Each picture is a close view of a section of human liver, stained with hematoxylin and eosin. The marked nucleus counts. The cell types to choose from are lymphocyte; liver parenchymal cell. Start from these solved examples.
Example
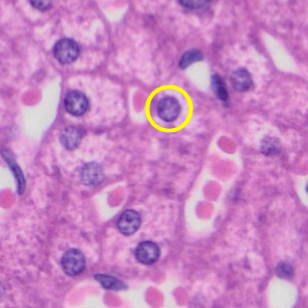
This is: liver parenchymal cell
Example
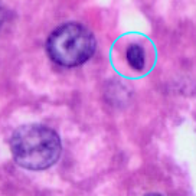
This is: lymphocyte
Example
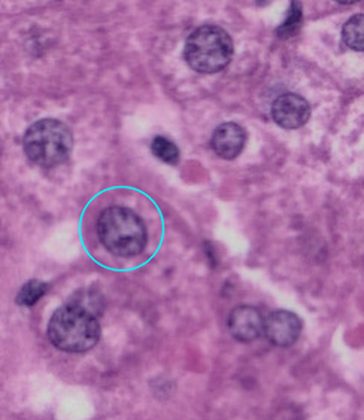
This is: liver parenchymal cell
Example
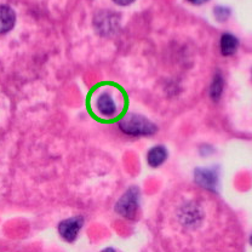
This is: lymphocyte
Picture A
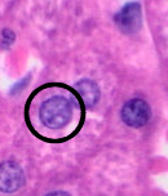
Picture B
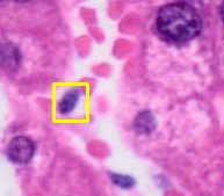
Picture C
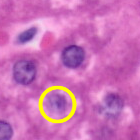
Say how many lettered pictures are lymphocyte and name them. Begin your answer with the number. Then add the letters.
Count: 1 (B)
